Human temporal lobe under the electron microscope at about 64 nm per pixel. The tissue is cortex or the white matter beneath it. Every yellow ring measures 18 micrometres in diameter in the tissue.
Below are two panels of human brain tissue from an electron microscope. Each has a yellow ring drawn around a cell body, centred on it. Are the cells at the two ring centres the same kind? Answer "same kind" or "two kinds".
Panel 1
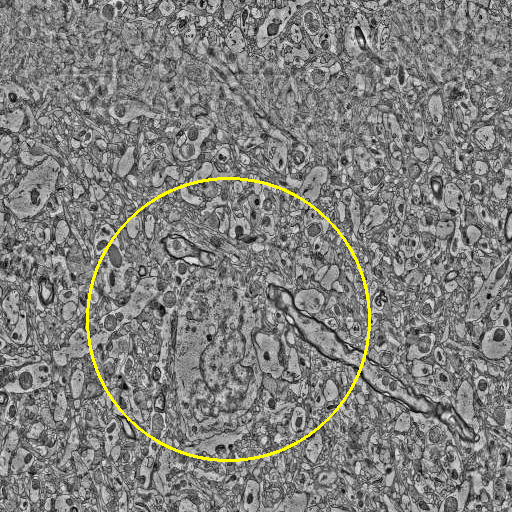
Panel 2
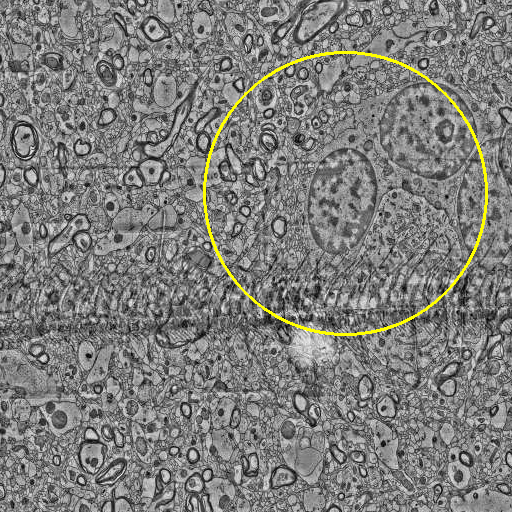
two kinds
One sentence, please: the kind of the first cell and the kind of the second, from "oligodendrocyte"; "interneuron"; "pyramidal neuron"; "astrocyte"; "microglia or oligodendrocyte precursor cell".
The ring in the first picture surrounds an interneuron, and the ring in the second surrounds an oligodendrocyte.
